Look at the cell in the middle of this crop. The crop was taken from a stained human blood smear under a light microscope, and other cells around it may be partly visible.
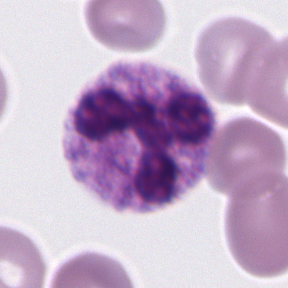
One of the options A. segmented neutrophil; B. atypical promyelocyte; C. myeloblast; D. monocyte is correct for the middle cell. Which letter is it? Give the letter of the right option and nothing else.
A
